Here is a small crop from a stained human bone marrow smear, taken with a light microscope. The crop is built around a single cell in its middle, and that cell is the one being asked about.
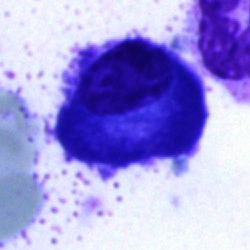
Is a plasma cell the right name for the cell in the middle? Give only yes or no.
yes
